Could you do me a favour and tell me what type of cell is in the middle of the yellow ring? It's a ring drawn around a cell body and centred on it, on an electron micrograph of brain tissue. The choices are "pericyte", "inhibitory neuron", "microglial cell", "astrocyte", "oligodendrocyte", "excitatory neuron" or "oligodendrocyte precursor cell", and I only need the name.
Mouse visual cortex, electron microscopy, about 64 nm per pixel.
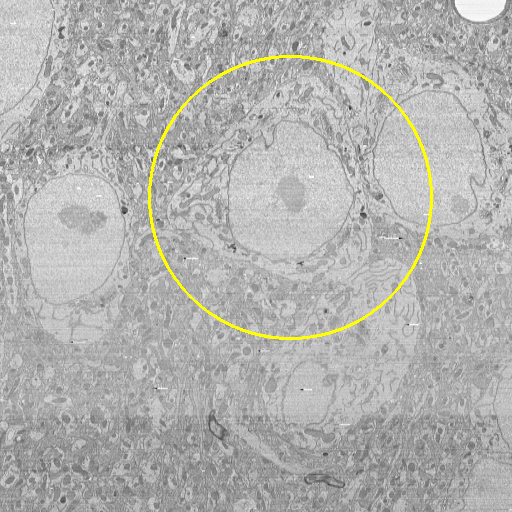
inhibitory neuron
